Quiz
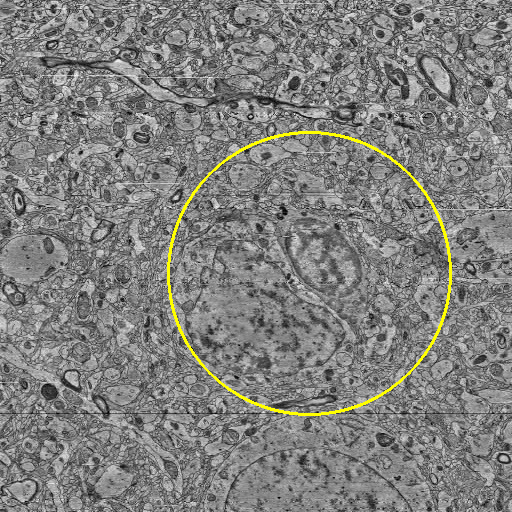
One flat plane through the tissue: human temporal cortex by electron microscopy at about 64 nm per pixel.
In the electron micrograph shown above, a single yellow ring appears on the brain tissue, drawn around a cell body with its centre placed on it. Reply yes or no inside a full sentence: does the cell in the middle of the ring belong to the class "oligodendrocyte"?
Yes, the cell at the centre of the ring in the picture belongs to that class.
